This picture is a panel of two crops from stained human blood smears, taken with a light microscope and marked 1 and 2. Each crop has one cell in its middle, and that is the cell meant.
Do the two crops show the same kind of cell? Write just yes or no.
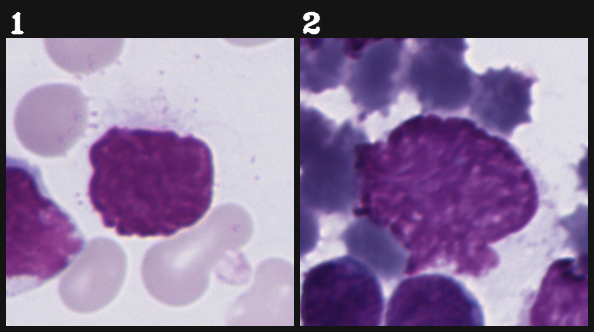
yes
